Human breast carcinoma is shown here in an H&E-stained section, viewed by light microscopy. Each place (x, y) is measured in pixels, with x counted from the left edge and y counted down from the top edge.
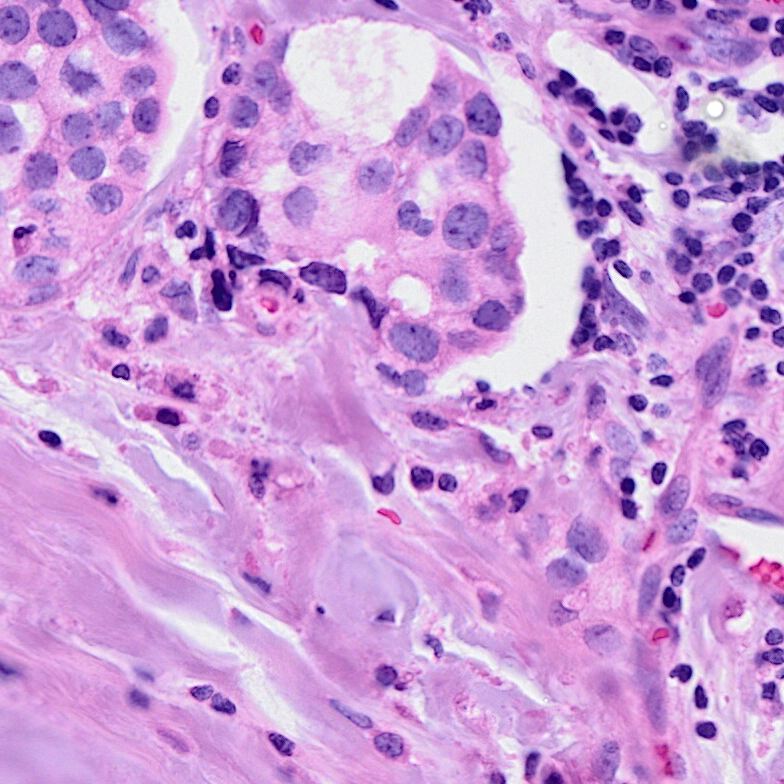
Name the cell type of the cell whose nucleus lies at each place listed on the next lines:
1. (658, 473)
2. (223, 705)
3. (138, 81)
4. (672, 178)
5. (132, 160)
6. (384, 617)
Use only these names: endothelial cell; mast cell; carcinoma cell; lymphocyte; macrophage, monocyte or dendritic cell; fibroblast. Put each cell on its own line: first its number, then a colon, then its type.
1: lymphocyte
2: lymphocyte
3: carcinoma cell
4: lymphocyte
5: carcinoma cell
6: fibroblast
